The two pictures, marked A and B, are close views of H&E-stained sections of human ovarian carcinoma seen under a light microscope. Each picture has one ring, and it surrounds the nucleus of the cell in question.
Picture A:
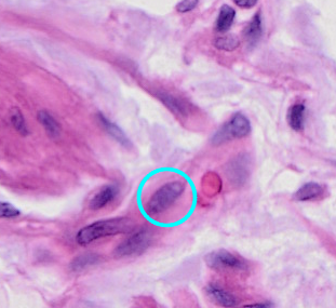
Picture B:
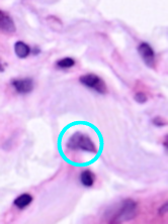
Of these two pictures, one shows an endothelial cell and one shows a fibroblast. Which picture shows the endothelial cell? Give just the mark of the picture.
A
